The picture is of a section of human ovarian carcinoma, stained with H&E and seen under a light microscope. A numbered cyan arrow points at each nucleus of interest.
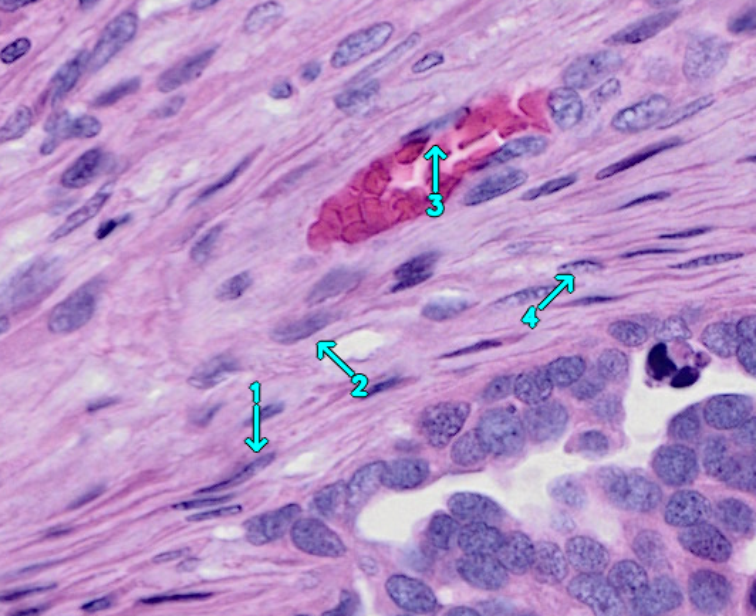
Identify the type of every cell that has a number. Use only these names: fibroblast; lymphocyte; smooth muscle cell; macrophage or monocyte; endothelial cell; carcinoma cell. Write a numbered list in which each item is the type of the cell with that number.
1. fibroblast
2. fibroblast
3. endothelial cell
4. fibroblast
